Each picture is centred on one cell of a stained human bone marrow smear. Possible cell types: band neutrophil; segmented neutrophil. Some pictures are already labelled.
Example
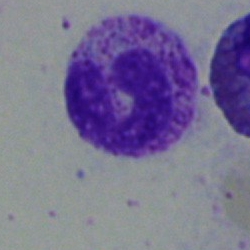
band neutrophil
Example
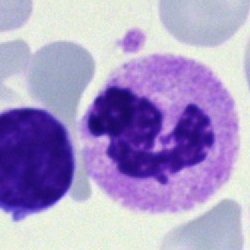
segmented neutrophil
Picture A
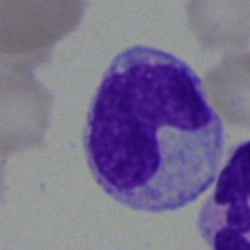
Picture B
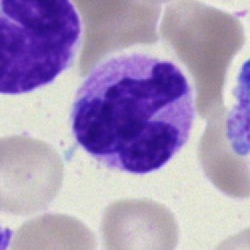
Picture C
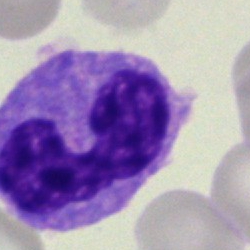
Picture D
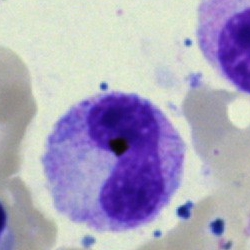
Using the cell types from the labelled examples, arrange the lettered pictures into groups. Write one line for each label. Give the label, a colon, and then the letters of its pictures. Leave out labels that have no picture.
band neutrophil: A, B, C, D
